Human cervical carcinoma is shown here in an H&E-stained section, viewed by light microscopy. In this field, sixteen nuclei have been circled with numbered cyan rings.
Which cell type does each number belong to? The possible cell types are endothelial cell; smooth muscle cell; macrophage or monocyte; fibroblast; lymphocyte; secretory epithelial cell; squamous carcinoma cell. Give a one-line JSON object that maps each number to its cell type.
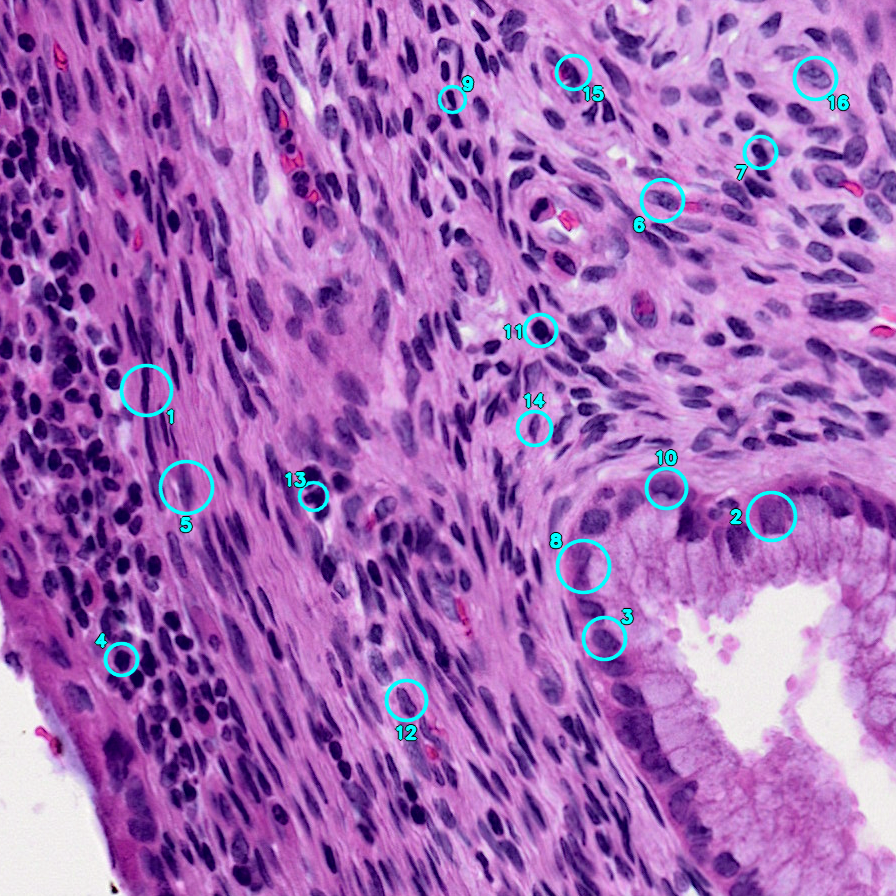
{"1": "fibroblast", "2": "secretory epithelial cell", "3": "secretory epithelial cell", "4": "lymphocyte", "5": "fibroblast", "6": "endothelial cell", "7": "fibroblast", "8": "secretory epithelial cell", "9": "fibroblast", "10": "secretory epithelial cell", "11": "lymphocyte", "12": "endothelial cell", "13": "lymphocyte", "14": "fibroblast", "15": "endothelial cell", "16": "endothelial cell"}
